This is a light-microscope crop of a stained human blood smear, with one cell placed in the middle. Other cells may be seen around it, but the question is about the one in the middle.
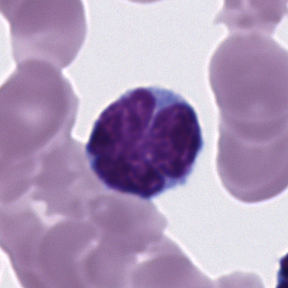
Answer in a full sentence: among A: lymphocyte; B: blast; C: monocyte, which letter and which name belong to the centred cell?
Well, the cell in the middle is a lymphocyte, making option A right.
